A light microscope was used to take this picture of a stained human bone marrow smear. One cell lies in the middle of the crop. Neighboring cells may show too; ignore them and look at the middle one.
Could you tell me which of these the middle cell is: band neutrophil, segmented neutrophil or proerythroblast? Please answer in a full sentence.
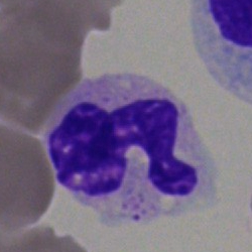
The cell around which this crop is centred is a segmented neutrophil.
